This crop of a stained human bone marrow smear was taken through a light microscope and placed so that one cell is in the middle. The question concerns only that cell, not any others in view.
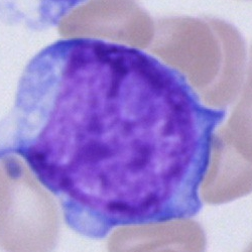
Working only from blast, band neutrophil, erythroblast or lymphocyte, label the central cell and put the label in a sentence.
The cell centred in this crop is categorized as a blast.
